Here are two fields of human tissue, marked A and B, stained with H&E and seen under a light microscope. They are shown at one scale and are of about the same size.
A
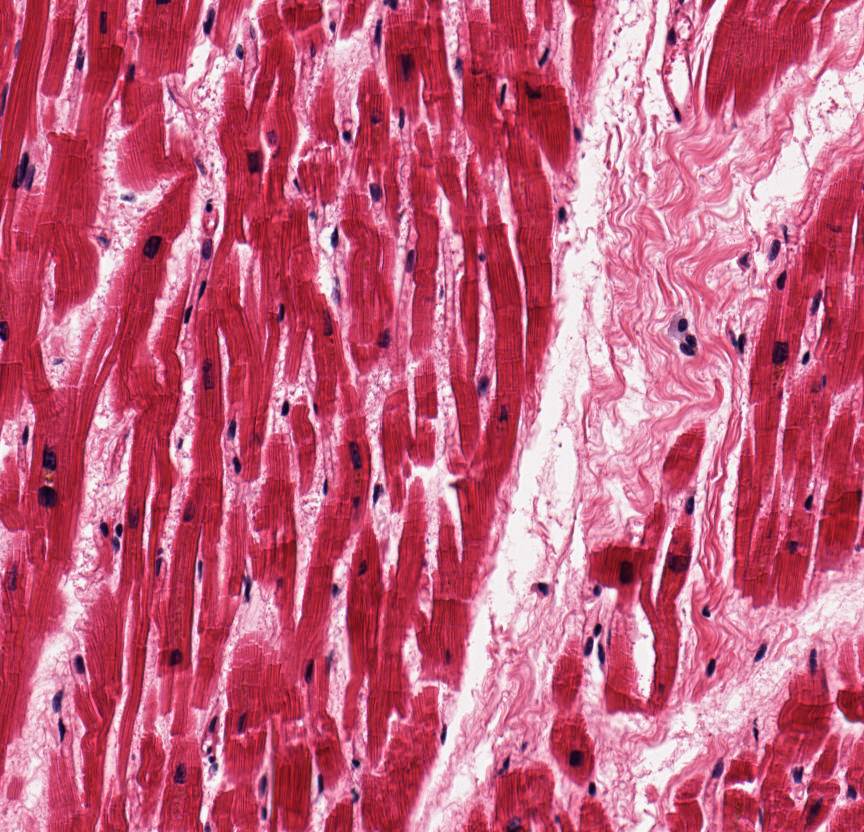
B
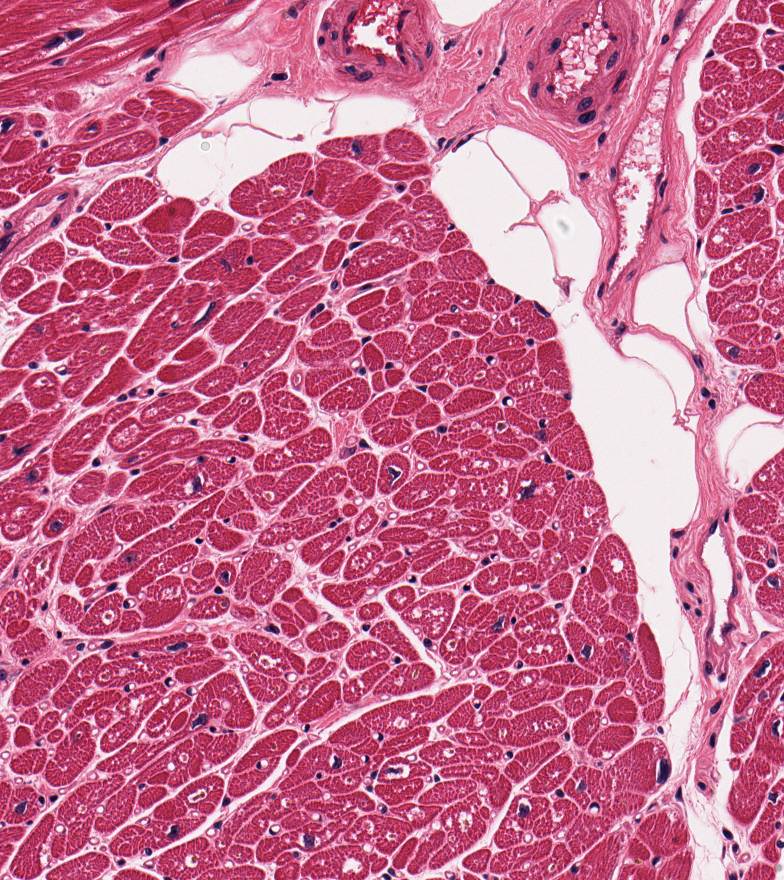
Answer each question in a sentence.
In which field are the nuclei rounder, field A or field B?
On the whole the nuclei of field B are rounder than those of field A.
